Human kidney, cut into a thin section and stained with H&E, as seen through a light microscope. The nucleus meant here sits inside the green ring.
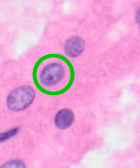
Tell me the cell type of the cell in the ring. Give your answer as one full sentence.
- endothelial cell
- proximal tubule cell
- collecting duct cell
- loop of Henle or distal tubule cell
Histopathologically, the cell in the ring is a proximal tubule cell.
